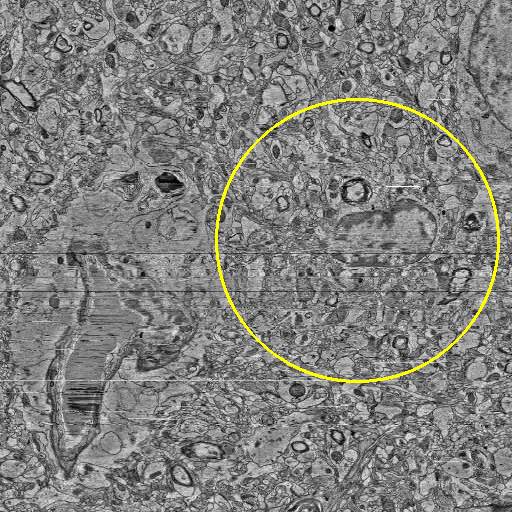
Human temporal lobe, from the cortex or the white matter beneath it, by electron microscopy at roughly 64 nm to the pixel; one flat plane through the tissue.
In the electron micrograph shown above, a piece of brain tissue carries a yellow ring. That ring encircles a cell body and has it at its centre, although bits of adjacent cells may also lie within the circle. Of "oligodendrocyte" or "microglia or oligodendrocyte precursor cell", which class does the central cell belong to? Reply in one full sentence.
The cell body at the centre of the yellow ring belongs to a microglial cell or oligodendrocyte precursor cell.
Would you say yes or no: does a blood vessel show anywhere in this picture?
Yes.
